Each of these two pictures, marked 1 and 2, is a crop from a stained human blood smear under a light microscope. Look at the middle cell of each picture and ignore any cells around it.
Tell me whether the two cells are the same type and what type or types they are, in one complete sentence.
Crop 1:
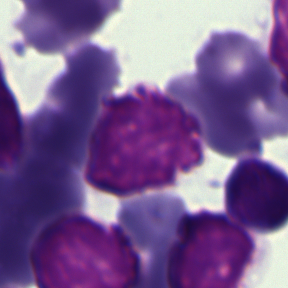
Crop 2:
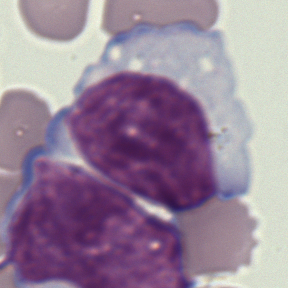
No, a myeloblast is in crop 2, and a smudge cell is in crop 1.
